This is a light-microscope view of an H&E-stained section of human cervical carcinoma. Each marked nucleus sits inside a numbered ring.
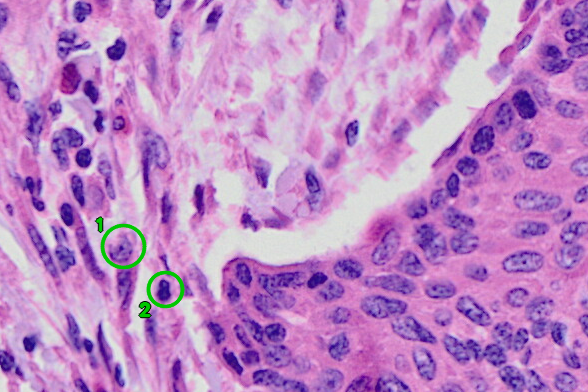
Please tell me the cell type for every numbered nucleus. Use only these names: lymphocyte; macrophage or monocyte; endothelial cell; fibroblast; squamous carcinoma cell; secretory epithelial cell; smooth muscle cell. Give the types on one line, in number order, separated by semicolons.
macrophage or monocyte; lymphocyte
